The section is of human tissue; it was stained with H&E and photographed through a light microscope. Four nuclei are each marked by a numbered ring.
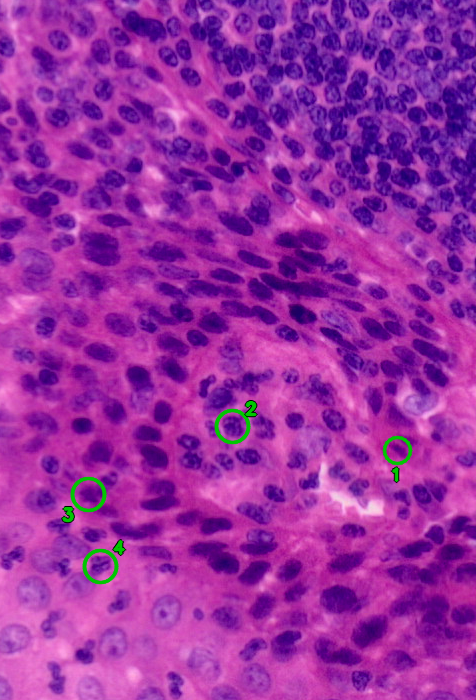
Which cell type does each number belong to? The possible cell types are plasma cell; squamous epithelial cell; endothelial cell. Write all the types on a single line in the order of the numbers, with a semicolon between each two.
squamous epithelial cell; plasma cell; squamous epithelial cell; squamous epithelial cell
